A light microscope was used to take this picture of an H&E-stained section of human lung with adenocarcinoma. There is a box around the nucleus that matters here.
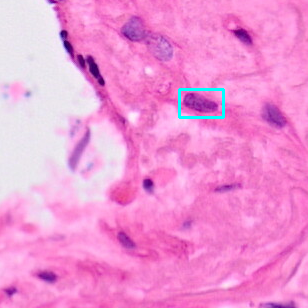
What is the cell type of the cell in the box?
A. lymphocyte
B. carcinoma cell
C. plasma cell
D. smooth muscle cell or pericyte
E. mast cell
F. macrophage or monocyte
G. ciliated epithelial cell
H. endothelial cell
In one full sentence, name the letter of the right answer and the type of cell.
Option D correctly identifies the cell in the box as a smooth muscle cell or pericyte.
